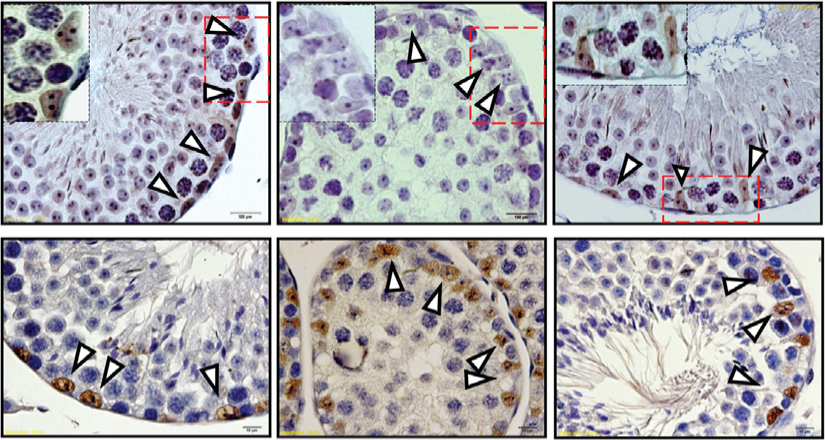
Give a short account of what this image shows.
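These are cross-sections of seminiferous tubules of the testis, with layers of germ cells stacked from the tubule wall toward a lumen where sperm tails collect. The germ cell nuclei around them stay blue.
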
